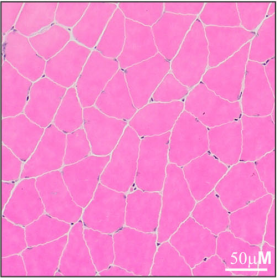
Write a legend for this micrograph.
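This is skeletal muscle seen in cross-section, made of closely packed pink fibres. The fibres are polygonal and fairly uniform in size, separated only by thin pale lines. Small dark nuclei lie at the edges of the fibres, and the spaces between fibres contain few cells.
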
